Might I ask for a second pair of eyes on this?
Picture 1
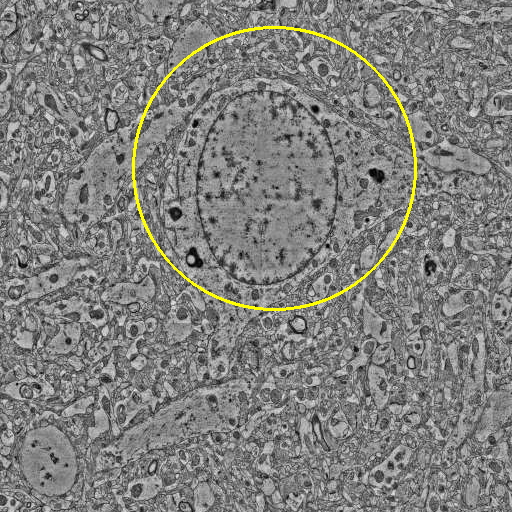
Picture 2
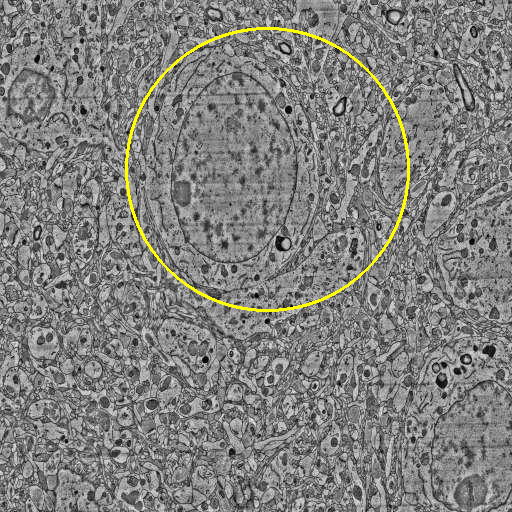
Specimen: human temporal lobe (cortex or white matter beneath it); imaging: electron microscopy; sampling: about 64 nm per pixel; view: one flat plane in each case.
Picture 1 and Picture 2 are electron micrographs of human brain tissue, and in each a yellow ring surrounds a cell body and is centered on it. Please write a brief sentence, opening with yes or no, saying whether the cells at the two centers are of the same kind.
Yes, the cells are of the same kind.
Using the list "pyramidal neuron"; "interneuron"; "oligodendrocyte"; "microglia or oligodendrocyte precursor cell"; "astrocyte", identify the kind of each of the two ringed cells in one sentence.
The second cell is a pyramidal neuron, just as the first is.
